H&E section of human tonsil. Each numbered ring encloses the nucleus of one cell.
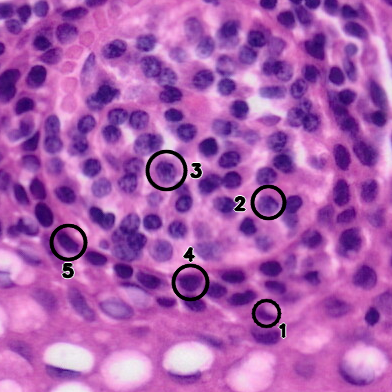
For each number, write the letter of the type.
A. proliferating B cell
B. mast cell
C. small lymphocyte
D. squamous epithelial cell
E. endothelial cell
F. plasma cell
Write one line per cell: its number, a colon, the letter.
1: D
2: F
3: F
4: D
5: D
